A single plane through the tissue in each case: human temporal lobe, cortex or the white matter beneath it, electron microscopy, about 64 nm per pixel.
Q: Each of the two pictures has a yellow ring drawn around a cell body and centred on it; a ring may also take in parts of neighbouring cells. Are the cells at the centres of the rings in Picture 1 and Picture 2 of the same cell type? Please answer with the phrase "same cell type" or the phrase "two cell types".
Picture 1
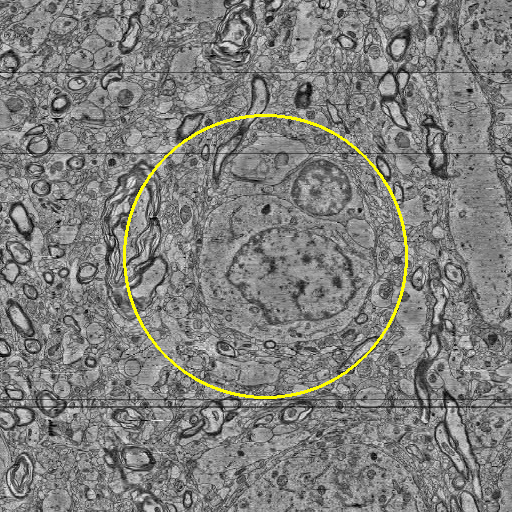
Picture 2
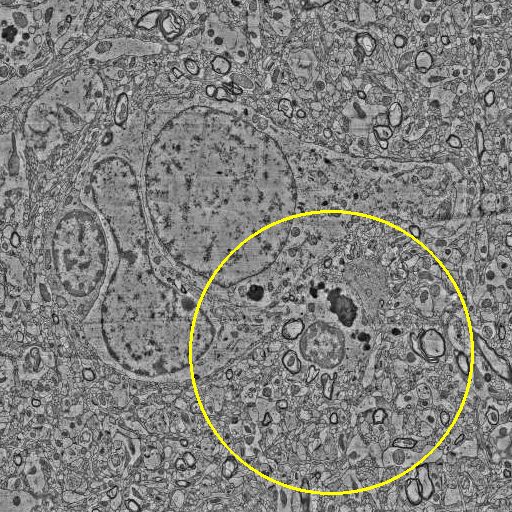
two cell types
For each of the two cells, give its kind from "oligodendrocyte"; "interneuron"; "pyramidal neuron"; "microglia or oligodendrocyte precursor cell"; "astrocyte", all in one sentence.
The first picture has an interneuron in its ring, the second has an oligodendrocyte.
